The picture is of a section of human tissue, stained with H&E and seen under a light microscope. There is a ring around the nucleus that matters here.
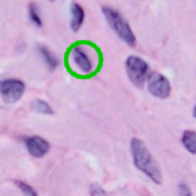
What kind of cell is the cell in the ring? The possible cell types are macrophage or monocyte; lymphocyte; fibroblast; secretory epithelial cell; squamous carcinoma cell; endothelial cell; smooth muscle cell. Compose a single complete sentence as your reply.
With respect to cell type, the cell in the ring is a fibroblast.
